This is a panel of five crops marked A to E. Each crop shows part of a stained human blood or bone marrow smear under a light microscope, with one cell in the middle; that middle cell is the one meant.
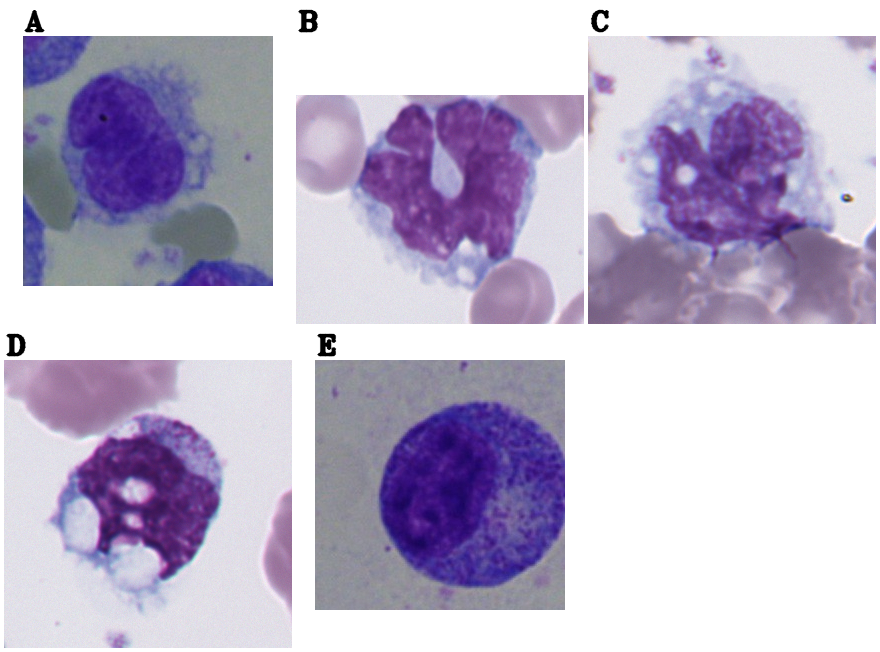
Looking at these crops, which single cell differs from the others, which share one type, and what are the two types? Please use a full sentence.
In this set, all crops show monocytes apart from crop E, which is a promyelocyte.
